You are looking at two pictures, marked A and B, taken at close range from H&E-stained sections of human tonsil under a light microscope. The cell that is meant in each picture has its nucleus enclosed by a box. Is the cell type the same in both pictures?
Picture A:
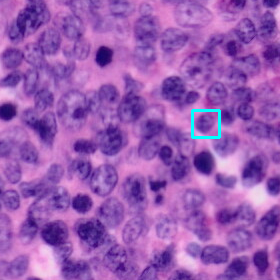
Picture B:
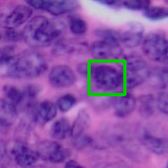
yes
